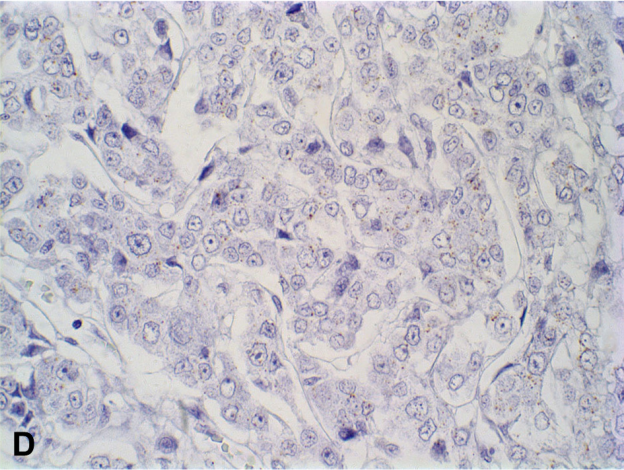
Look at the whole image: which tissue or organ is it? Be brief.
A: Invasive carcinomatous areas.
